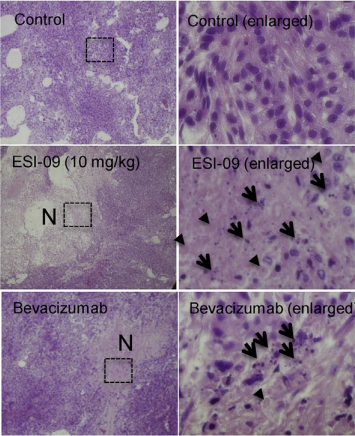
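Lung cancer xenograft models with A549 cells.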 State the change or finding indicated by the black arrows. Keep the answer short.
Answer: Nuclear fragmentation.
